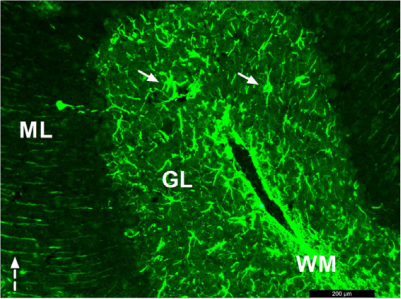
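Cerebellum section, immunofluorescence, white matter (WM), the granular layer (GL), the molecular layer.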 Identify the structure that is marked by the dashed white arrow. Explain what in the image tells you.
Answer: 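The outer layer is crossed by many thin parallel fibres. The fibres run straight, perpendicular to the layer boundary, towards the surface.
Hence: a Bergmann radial pattern.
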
